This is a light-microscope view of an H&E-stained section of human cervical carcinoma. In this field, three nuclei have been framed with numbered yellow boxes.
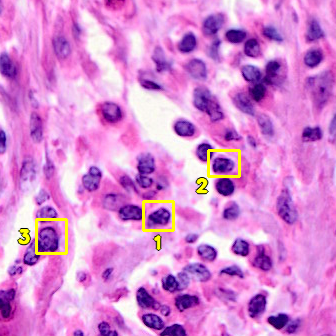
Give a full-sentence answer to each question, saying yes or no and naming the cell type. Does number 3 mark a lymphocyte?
No, what is marked as number 3 is a macrophage or monocyte rather than a lymphocyte.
